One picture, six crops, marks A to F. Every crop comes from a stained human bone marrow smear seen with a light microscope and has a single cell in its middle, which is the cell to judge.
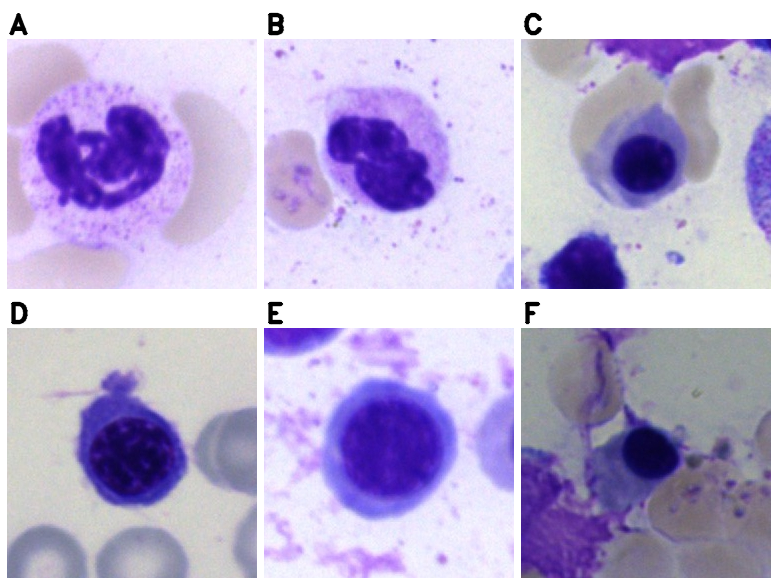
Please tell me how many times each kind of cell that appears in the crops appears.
erythroblast: 4
segmented neutrophil: 2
